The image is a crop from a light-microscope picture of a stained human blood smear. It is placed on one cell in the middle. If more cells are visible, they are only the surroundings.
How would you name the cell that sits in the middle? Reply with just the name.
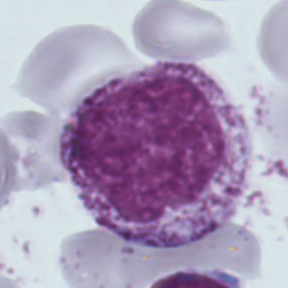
myelocyte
